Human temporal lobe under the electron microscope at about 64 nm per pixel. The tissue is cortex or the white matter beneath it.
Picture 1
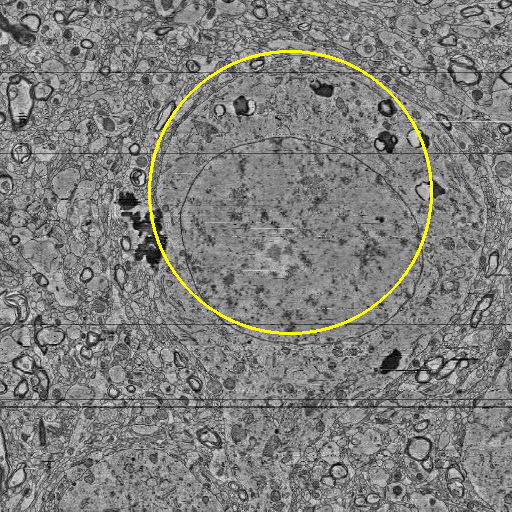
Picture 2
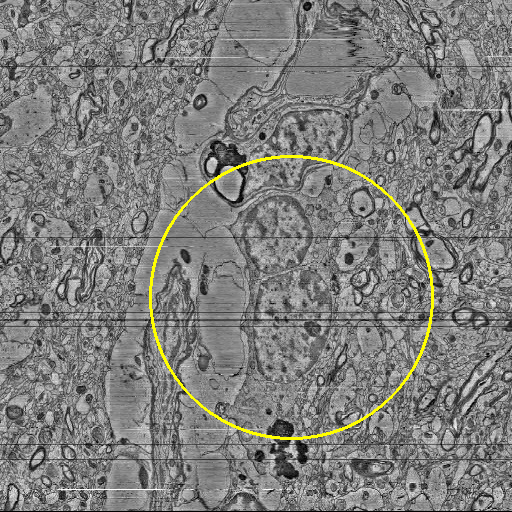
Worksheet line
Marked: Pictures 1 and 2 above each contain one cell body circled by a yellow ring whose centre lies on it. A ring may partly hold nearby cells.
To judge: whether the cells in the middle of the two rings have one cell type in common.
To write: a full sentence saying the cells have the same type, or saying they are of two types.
The cells in the middle of the rings in Picture 1 and Picture 2 are of two types.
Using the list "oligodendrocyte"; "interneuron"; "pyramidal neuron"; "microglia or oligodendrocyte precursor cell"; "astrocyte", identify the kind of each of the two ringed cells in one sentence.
The first is a pyramidal neuron and the second is an oligodendrocyte.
